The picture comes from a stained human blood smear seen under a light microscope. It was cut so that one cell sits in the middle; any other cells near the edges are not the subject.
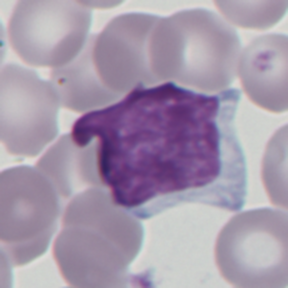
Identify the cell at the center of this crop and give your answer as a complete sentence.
By type, the central cell of the crop is a typical lymphocyte.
